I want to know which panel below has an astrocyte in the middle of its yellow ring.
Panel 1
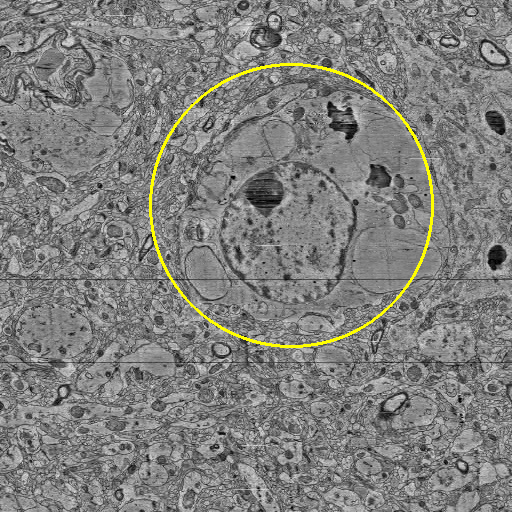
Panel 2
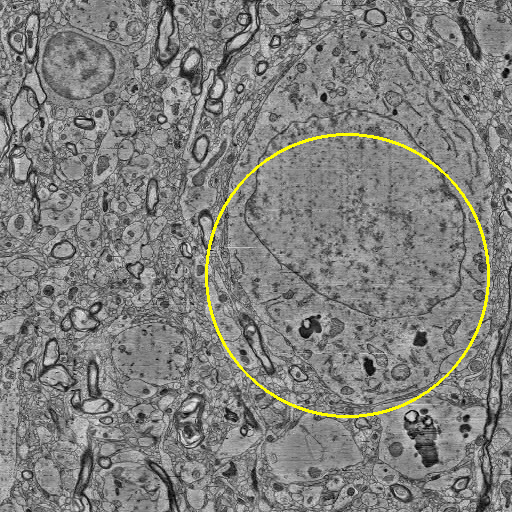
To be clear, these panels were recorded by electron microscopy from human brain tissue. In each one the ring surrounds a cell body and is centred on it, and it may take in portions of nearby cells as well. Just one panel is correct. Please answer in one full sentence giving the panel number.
Panel 1 has the requested cell sitting at the centre of its ring.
